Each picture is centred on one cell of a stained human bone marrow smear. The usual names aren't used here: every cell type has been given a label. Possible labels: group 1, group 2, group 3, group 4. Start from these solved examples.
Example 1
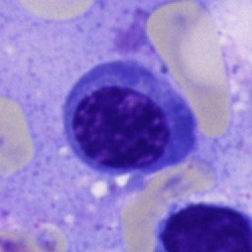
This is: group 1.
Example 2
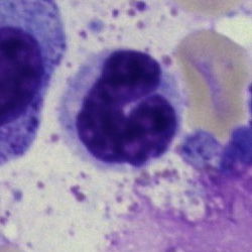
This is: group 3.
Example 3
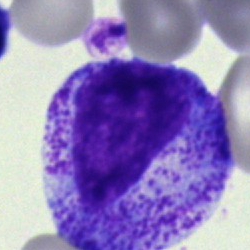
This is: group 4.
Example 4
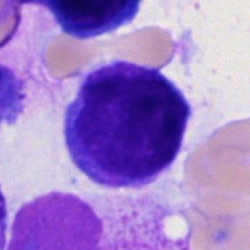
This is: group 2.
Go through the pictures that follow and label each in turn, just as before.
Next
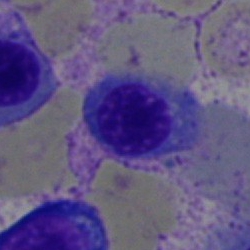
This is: group 1.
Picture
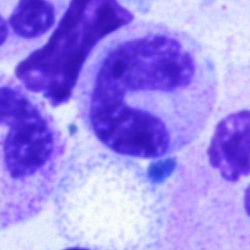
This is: group 3.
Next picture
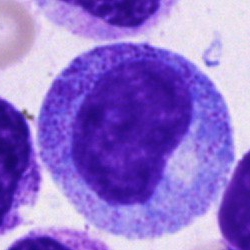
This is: group 4.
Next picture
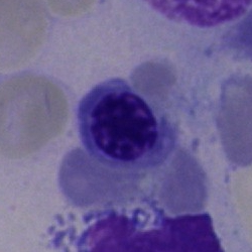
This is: group 1.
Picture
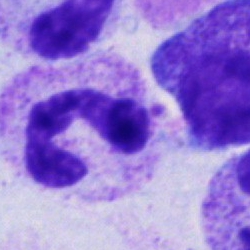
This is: group 3.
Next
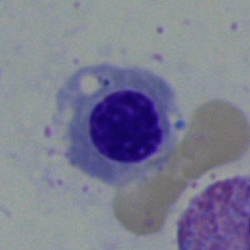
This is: group 1.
